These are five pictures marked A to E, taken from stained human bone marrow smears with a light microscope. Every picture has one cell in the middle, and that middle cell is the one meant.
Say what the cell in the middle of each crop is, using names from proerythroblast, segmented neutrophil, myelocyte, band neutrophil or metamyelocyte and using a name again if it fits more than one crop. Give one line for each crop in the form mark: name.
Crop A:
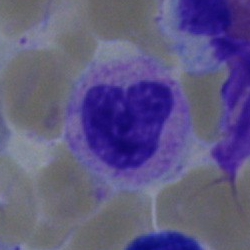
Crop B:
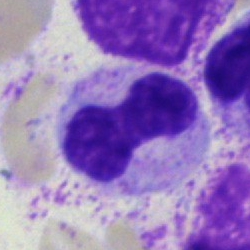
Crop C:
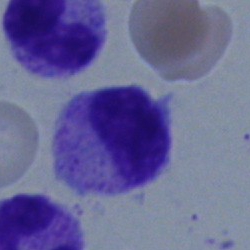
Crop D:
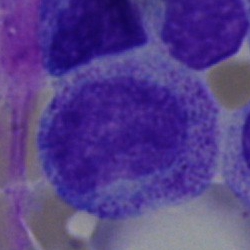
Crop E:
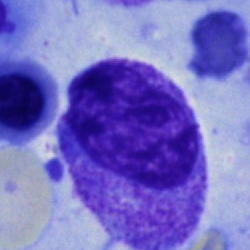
A: band neutrophil
B: band neutrophil
C: metamyelocyte
D: metamyelocyte
E: myelocyte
